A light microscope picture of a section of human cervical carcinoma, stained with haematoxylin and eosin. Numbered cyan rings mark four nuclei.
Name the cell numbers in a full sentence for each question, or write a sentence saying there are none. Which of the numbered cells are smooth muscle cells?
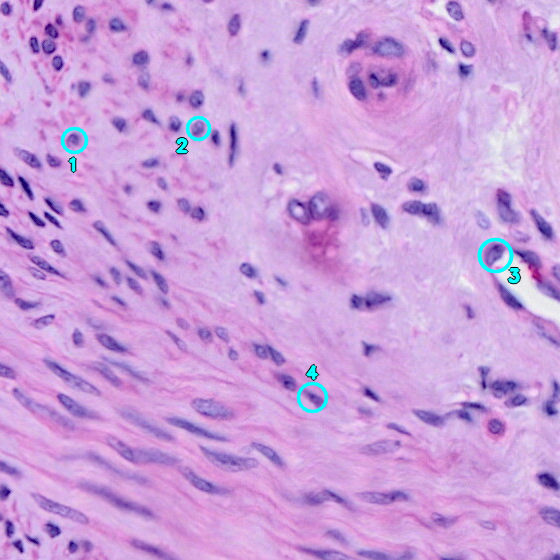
The cells numbered 1, 2 and 4 fall into the category of smooth muscle cells.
